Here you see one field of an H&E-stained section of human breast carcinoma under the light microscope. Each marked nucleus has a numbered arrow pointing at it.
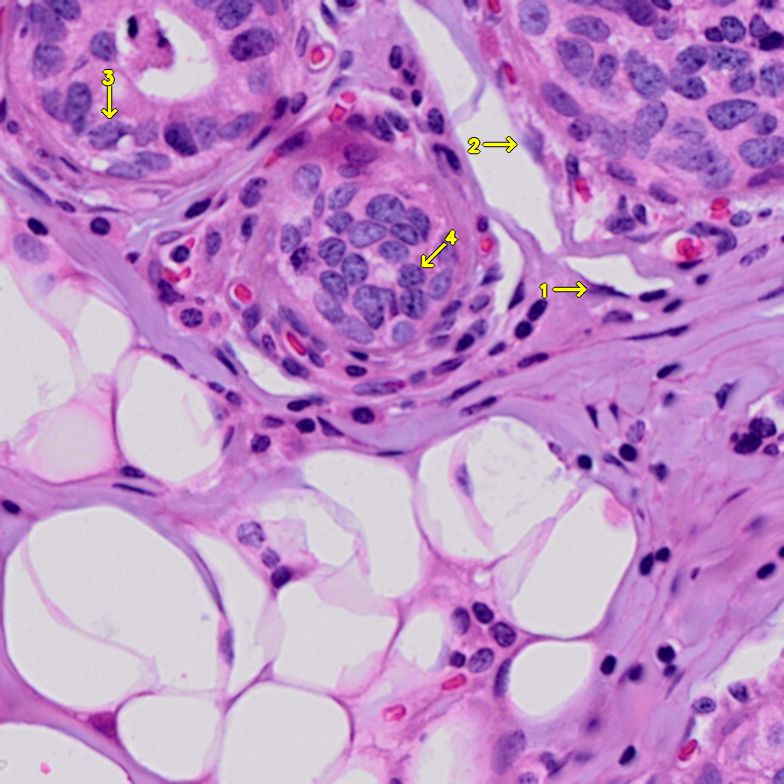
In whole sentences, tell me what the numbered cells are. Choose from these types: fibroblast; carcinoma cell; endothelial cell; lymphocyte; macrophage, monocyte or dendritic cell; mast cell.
Cell 1 is a fibroblast, cell 2 is a fibroblast, cell 3 is a carcinoma cell and cell 4 is a carcinoma cell.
